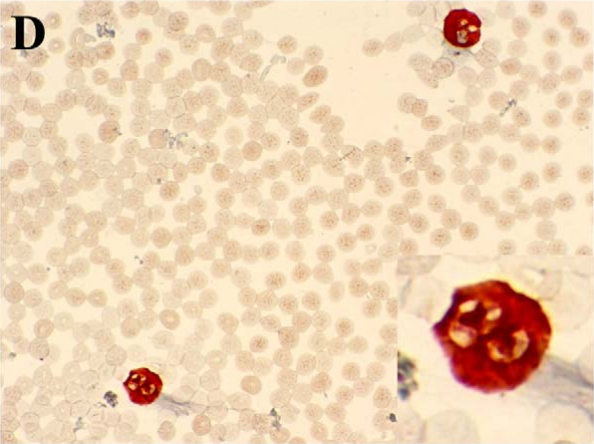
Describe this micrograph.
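This is a blood smear with two neutrophils lying among many red blood cells. The two white cells are clearly larger and stand out because their cytoplasm is stained a deep red-brown throughout. In the enlarged inset, one neutrophil shows a nucleus divided into several separate, pale lobes set within the darkly stained cytoplasm, the segmented pattern typical of a mature granulocyte. The background red cells are essentially unstained.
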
